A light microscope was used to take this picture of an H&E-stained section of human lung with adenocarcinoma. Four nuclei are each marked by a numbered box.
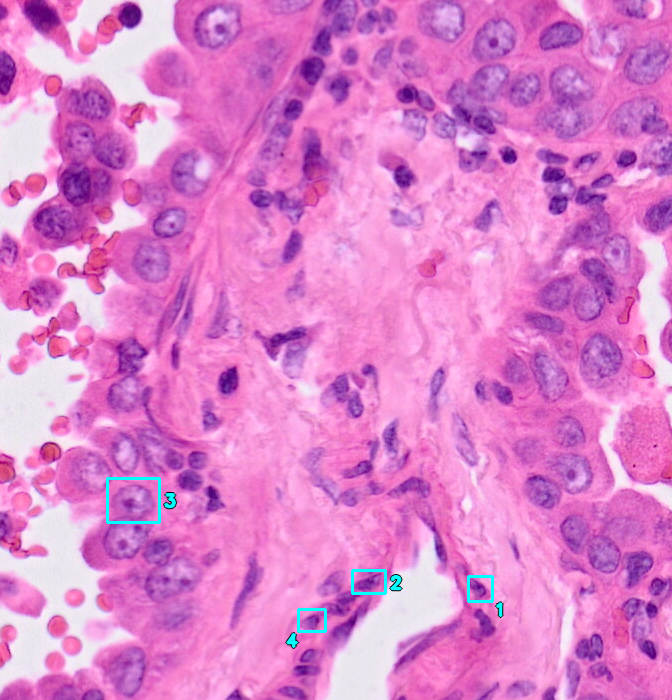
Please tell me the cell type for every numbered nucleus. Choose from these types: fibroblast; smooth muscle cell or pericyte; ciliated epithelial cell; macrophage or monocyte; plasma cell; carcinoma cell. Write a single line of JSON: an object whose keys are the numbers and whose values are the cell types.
{"1": "smooth muscle cell or pericyte", "2": "smooth muscle cell or pericyte", "3": "carcinoma cell", "4": "smooth muscle cell or pericyte"}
